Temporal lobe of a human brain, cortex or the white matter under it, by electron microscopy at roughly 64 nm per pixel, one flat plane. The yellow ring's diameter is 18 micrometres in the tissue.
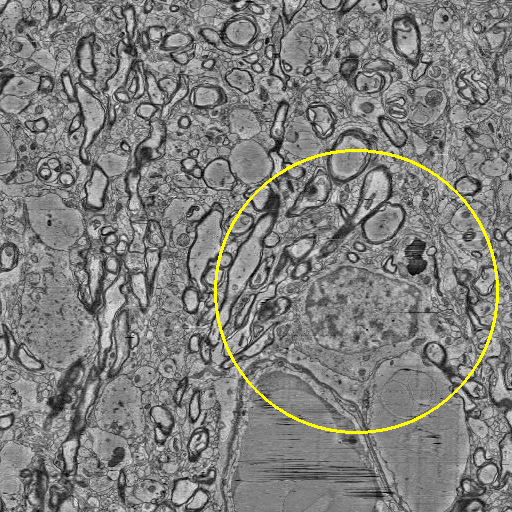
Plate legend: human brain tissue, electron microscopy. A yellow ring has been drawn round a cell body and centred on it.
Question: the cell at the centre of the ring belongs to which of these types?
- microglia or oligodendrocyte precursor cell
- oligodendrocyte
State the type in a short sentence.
The cell in the middle of the ring is an oligodendrocyte.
